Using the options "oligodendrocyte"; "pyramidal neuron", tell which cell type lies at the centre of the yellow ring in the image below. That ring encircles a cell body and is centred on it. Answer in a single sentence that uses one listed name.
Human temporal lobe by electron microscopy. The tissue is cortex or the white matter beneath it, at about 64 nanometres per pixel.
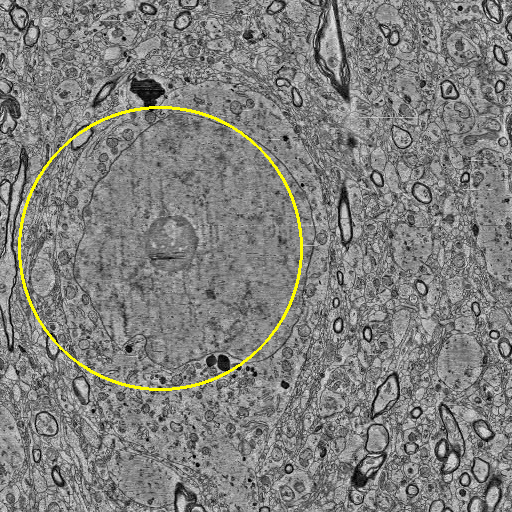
At the centre of the yellow ring lies the body of a pyramidal neuron.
